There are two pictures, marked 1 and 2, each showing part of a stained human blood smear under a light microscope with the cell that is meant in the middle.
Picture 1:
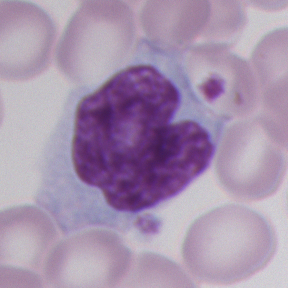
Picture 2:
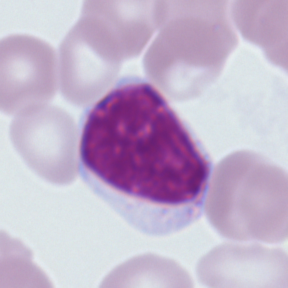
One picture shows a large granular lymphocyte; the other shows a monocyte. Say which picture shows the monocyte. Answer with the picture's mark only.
1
